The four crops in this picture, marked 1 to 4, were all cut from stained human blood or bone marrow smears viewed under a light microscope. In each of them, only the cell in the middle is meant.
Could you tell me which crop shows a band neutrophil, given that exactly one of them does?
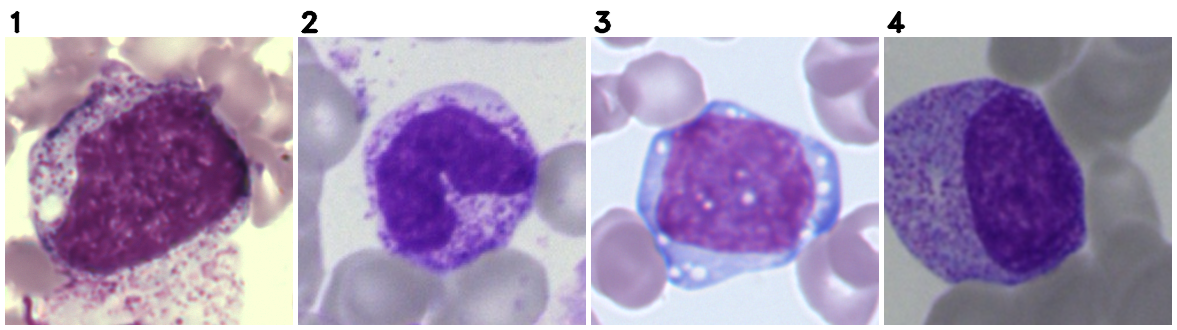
2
